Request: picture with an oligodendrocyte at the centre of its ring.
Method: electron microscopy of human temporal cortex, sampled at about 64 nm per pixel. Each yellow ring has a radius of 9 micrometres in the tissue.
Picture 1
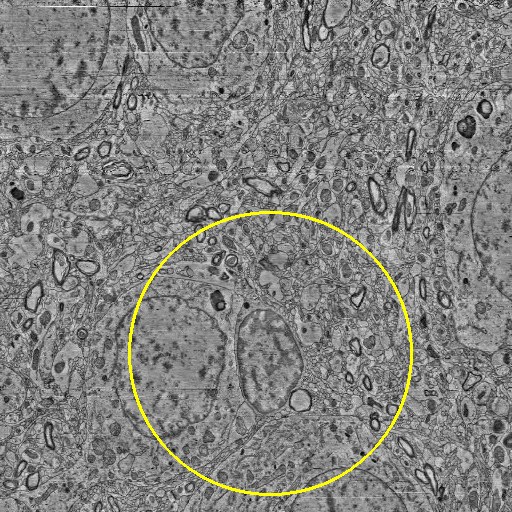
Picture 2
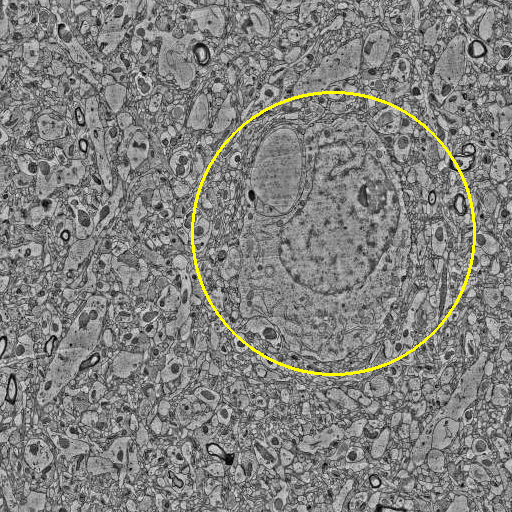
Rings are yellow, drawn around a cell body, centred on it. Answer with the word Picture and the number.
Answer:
Picture 1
